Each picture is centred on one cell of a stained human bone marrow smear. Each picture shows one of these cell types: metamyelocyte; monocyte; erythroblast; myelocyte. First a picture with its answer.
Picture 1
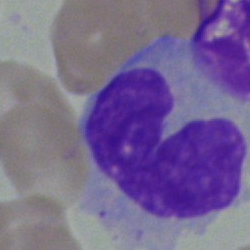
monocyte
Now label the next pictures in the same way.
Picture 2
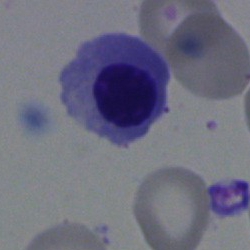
erythroblast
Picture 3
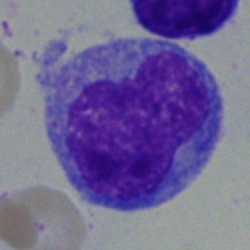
monocyte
